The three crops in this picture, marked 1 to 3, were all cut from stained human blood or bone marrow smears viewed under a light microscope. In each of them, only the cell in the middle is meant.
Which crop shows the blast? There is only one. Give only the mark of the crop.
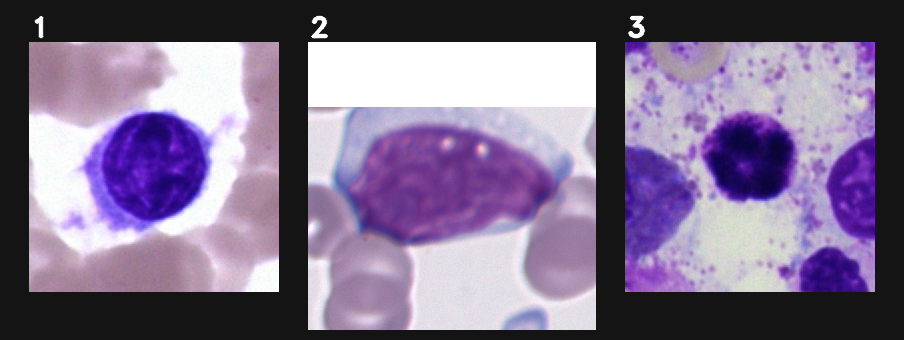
2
